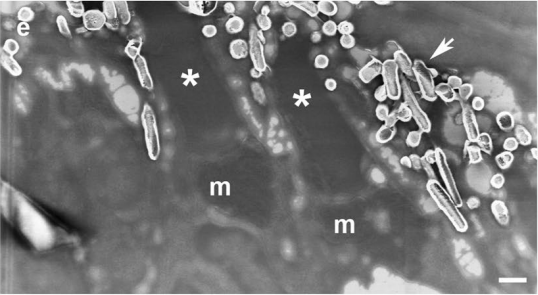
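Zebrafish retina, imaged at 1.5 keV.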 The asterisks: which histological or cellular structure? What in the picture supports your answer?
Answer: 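The asterisks sit on elongated dark, uniform bands running in parallel. The bands lie next to dark clusters of rounded organelles.
Answer: Outer segments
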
